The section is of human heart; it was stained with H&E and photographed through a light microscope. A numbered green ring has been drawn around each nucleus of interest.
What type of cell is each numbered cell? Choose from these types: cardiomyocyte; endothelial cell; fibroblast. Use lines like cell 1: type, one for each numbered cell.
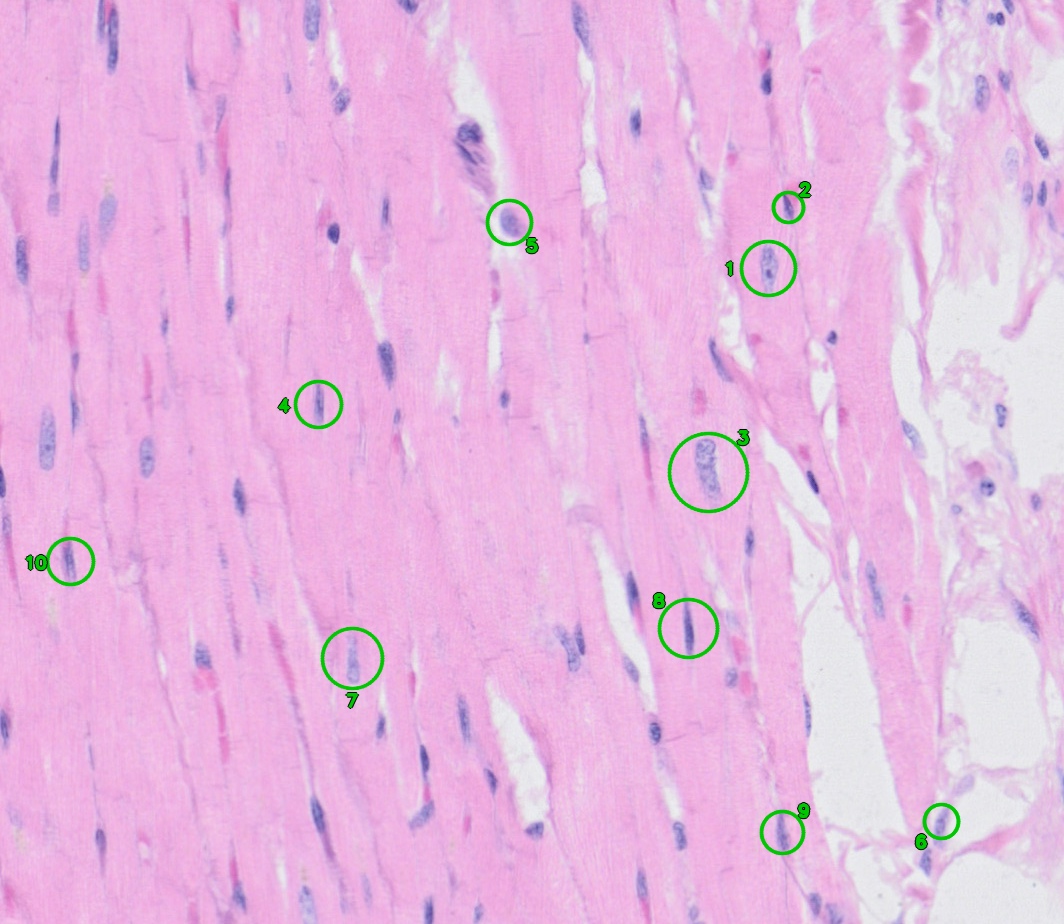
cell 1: cardiomyocyte
cell 2: endothelial cell
cell 3: cardiomyocyte
cell 4: endothelial cell
cell 5: fibroblast
cell 6: fibroblast
cell 7: cardiomyocyte
cell 8: endothelial cell
cell 9: fibroblast
cell 10: endothelial cell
